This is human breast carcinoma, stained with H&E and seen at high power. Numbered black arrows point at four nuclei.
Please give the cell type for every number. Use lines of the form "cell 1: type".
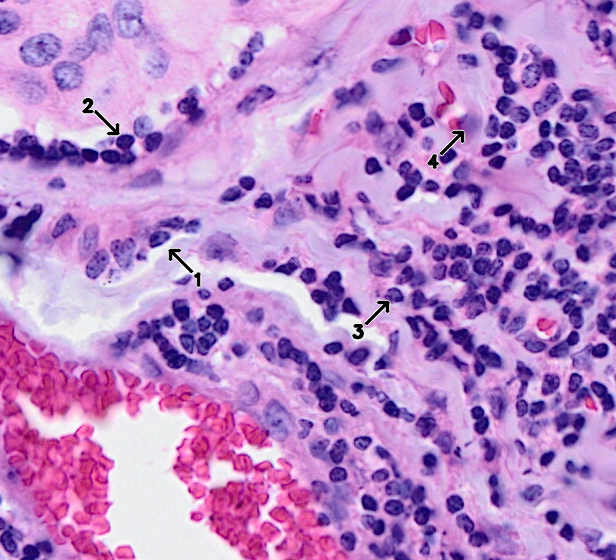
cell 1: lymphocyte
cell 2: lymphocyte
cell 3: lymphocyte
cell 4: endothelial cell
